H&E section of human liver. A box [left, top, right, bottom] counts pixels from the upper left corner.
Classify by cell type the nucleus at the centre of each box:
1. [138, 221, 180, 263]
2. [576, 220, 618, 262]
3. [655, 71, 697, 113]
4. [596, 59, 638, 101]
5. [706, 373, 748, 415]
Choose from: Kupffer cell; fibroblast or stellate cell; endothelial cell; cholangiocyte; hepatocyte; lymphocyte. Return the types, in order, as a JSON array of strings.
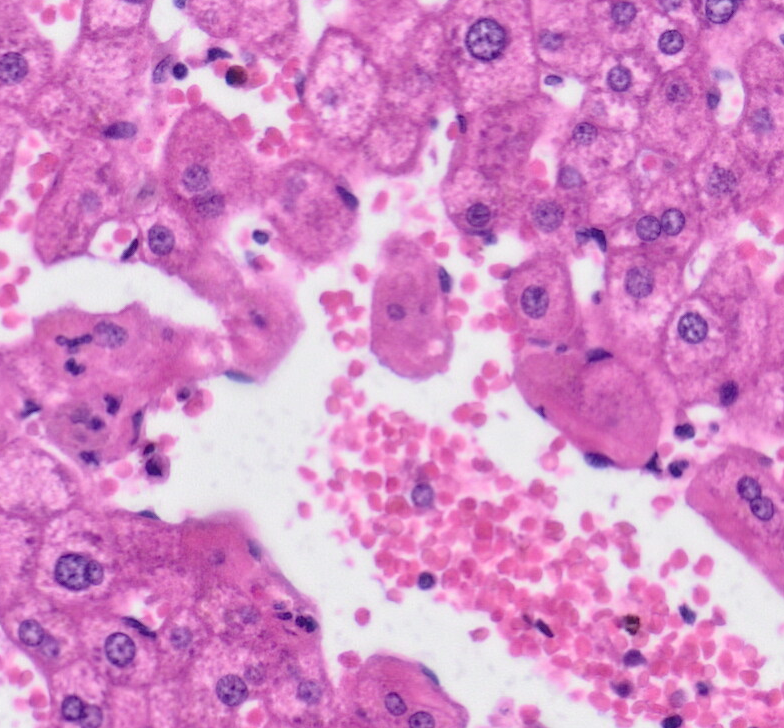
["hepatocyte", "fibroblast or stellate cell", "hepatocyte", "hepatocyte", "fibroblast or stellate cell"]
